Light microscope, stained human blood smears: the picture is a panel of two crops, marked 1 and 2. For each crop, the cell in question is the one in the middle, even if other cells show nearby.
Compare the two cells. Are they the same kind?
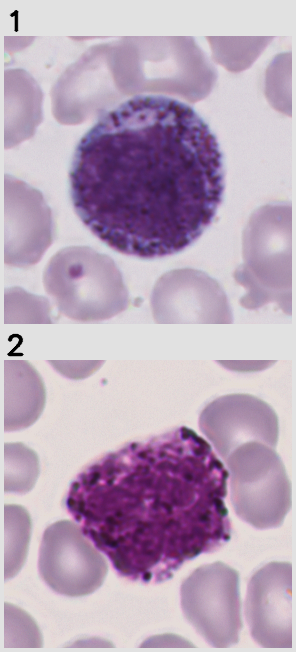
no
